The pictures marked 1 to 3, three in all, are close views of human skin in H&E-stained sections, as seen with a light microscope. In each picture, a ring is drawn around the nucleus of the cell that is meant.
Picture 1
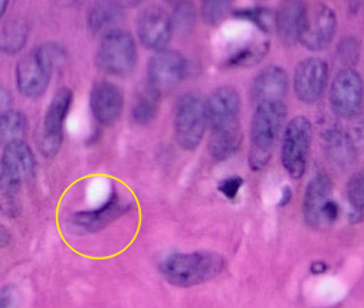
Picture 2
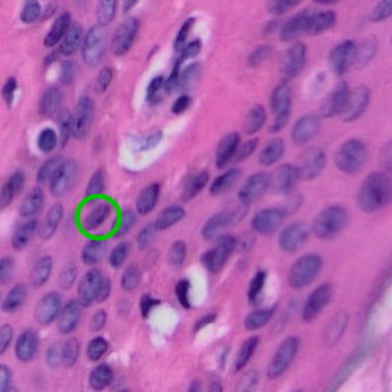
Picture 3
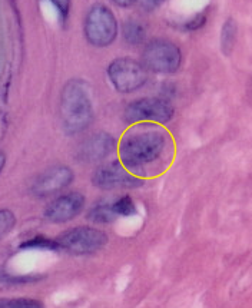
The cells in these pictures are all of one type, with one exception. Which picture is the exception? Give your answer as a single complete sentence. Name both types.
Picture 1 differs, because its cell is a fibroblast and the rest are basal keratinocytes.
